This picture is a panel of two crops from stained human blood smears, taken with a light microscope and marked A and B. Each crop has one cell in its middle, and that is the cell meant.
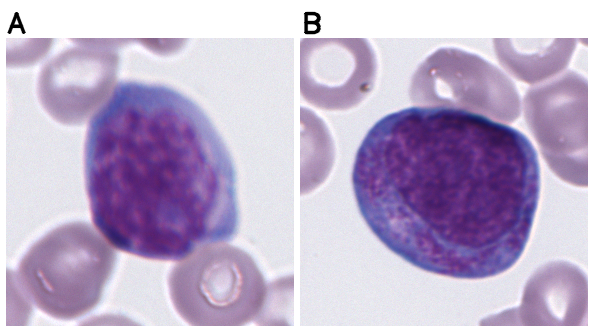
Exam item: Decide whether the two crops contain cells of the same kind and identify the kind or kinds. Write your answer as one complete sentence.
No, crop A features a myeloblast, and crop B features a promyelocyte.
